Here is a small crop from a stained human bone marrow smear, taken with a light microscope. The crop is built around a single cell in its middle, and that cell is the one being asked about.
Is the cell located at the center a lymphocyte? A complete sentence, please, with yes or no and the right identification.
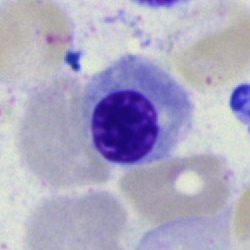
No, the central cell is counted as an erythroblast instead of a lymphocyte.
